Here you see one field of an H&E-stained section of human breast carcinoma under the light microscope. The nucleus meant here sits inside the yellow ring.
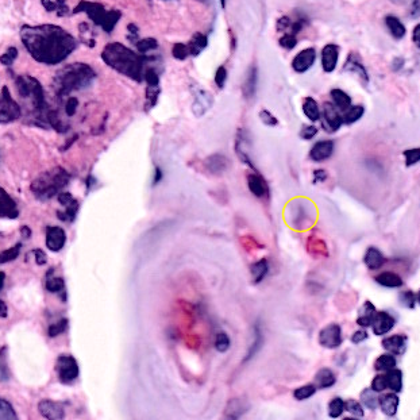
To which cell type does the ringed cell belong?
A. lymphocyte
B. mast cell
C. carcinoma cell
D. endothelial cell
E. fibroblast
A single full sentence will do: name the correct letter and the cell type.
It is option D that correctly calls the ringed cell an endothelial cell.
